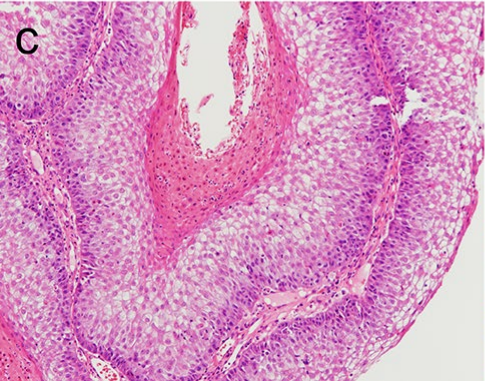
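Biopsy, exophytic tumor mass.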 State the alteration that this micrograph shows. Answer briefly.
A: Abundant clear cytoplasm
